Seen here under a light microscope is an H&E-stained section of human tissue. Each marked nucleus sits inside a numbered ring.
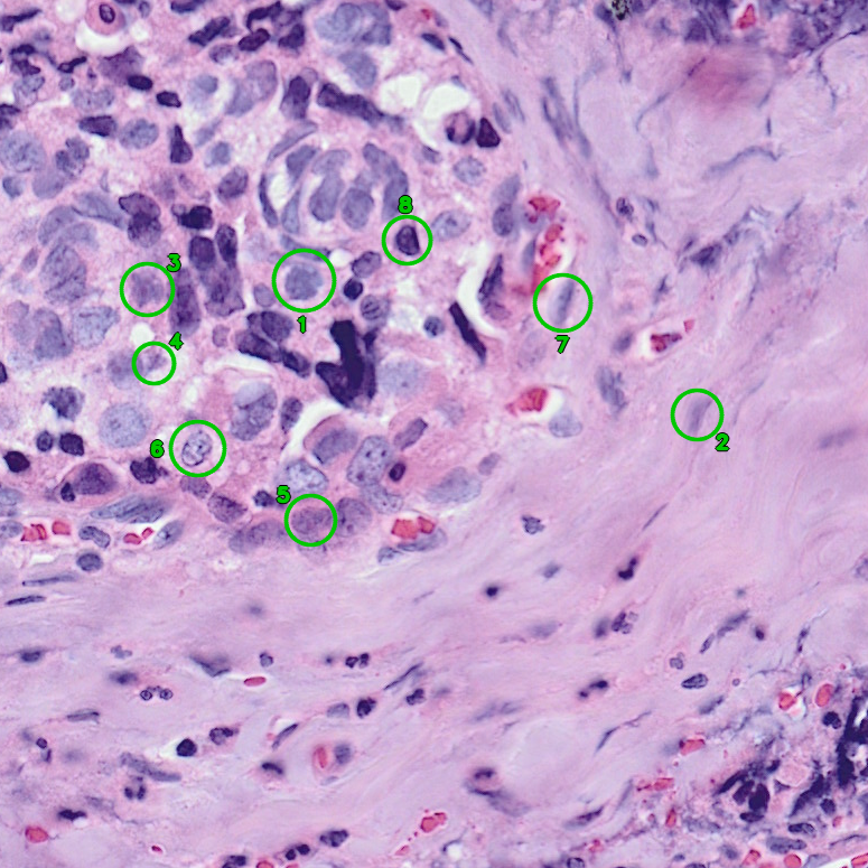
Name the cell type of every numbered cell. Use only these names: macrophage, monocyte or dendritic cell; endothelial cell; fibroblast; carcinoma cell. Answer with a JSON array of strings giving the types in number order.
["carcinoma cell", "fibroblast", "carcinoma cell", "carcinoma cell", "carcinoma cell", "macrophage, monocyte or dendritic cell", "endothelial cell", "carcinoma cell"]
